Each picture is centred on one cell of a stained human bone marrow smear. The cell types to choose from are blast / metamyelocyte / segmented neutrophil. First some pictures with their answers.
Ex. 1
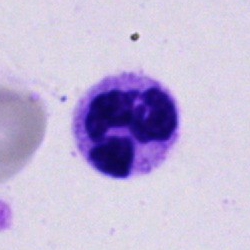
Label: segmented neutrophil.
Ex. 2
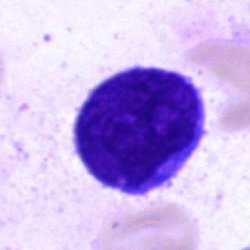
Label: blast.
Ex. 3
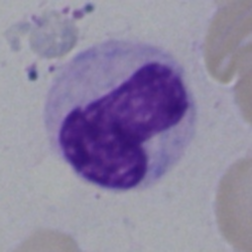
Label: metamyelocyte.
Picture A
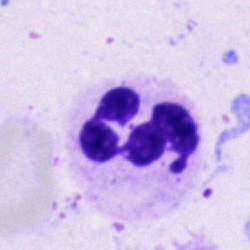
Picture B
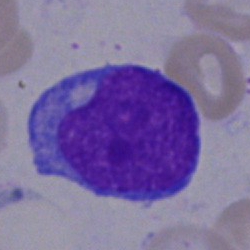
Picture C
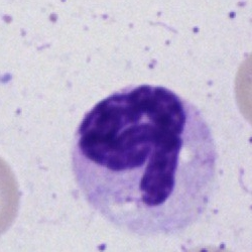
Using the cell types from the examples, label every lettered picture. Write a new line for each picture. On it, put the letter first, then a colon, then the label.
A: segmented neutrophil.
B: blast.
C: segmented neutrophil.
